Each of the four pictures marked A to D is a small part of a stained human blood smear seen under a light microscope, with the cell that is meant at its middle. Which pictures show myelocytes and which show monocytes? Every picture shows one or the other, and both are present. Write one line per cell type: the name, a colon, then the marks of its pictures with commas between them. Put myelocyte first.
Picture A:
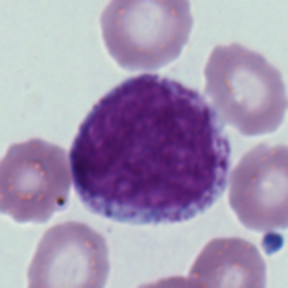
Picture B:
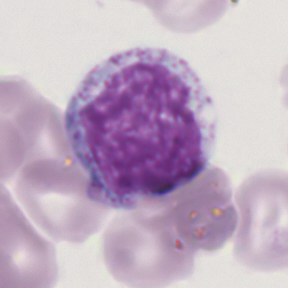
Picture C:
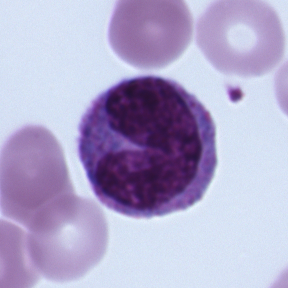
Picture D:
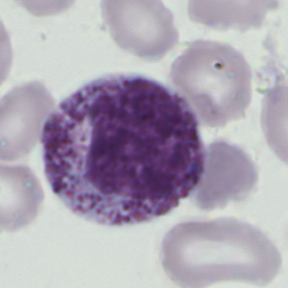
myelocyte: A, B, D
monocyte: C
